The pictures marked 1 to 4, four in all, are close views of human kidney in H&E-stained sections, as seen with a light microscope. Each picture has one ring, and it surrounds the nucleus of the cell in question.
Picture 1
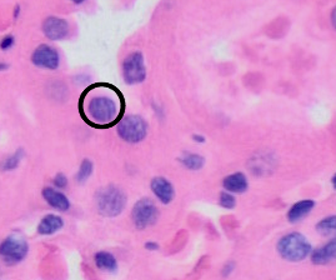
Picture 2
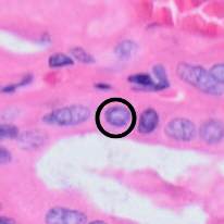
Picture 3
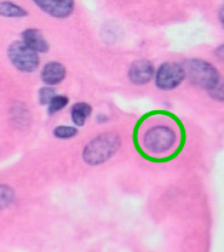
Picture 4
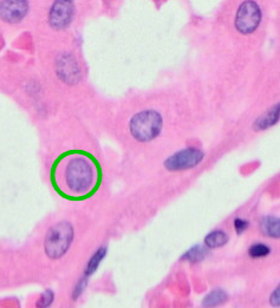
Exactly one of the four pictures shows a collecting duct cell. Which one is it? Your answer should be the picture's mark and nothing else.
2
